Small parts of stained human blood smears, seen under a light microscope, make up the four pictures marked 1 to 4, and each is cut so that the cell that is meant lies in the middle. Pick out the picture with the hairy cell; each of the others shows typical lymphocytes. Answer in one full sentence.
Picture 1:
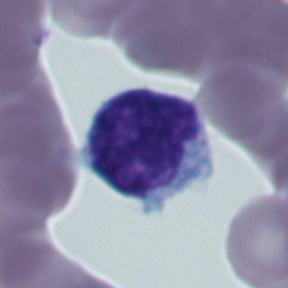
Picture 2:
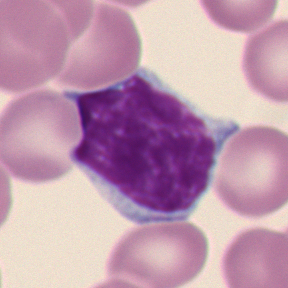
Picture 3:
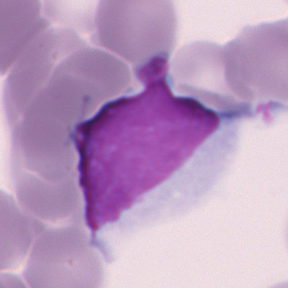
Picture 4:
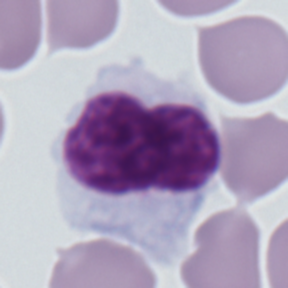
Picture 4 shows the hairy cell.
